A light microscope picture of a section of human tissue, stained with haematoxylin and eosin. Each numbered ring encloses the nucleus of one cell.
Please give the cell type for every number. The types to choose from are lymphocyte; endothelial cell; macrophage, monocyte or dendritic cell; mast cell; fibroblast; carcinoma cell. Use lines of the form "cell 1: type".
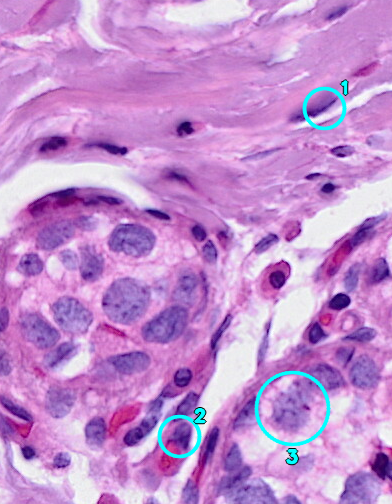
cell 1: fibroblast
cell 2: endothelial cell
cell 3: carcinoma cell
